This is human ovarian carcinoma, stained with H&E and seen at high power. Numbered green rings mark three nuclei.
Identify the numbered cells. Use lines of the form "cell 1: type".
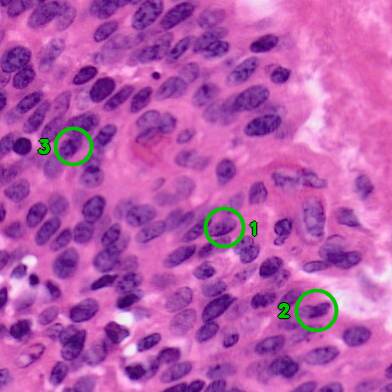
cell 1: carcinoma cell
cell 2: macrophage or monocyte
cell 3: carcinoma cell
